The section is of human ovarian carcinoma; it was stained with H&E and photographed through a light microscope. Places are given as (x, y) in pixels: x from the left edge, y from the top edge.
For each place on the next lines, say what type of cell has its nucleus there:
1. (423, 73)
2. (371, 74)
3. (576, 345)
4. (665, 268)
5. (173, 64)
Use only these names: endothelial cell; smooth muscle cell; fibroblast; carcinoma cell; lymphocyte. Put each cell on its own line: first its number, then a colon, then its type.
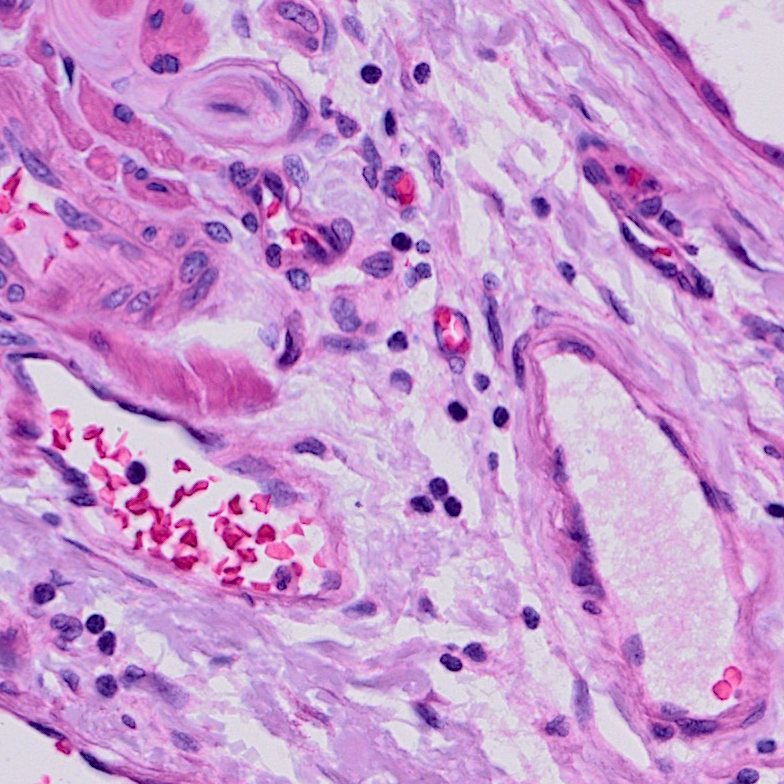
1: lymphocyte
2: lymphocyte
3: endothelial cell
4: endothelial cell
5: smooth muscle cell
